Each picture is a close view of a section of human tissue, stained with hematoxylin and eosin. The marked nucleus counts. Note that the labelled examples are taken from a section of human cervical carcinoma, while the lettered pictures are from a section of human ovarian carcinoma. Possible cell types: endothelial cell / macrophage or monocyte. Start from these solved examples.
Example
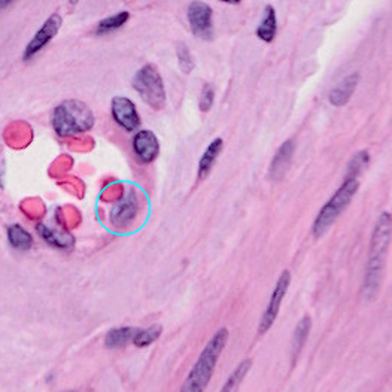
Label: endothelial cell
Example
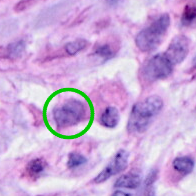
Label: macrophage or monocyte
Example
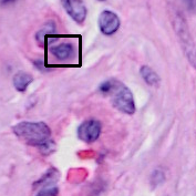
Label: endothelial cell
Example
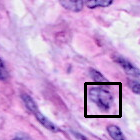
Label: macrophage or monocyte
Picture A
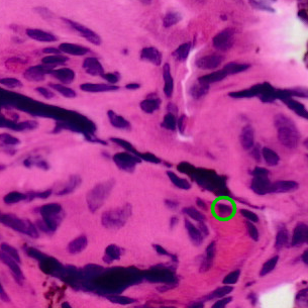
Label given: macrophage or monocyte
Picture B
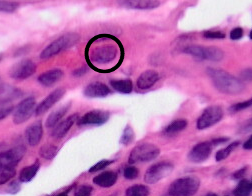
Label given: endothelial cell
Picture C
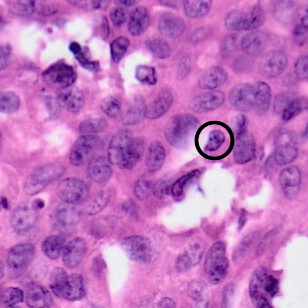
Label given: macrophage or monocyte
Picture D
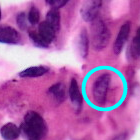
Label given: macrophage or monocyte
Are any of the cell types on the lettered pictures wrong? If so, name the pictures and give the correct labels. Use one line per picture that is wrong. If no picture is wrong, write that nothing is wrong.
Wrong: A (macrophage or monocyte); correct: endothelial cell
Wrong: D (macrophage or monocyte); correct: endothelial cell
